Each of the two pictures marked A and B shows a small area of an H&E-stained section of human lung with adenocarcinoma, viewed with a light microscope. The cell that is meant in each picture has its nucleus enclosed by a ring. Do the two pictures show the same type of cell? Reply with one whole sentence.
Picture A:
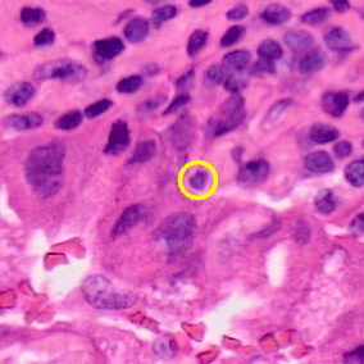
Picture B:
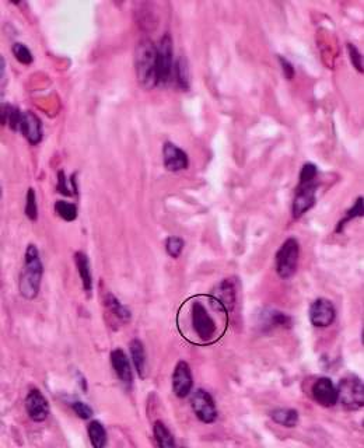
No, the types are not the same, since picture A shows a lymphocyte and picture B a plasma cell.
